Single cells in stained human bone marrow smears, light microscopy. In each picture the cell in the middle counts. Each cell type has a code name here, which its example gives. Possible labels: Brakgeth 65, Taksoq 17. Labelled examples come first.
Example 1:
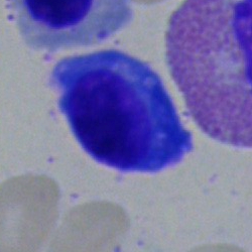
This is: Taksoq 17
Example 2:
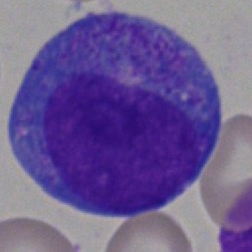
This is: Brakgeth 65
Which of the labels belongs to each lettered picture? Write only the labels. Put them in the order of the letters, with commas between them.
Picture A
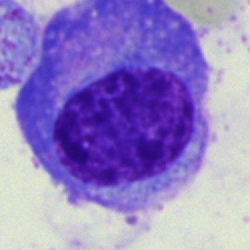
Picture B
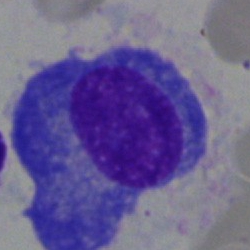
Taksoq 17, Taksoq 17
